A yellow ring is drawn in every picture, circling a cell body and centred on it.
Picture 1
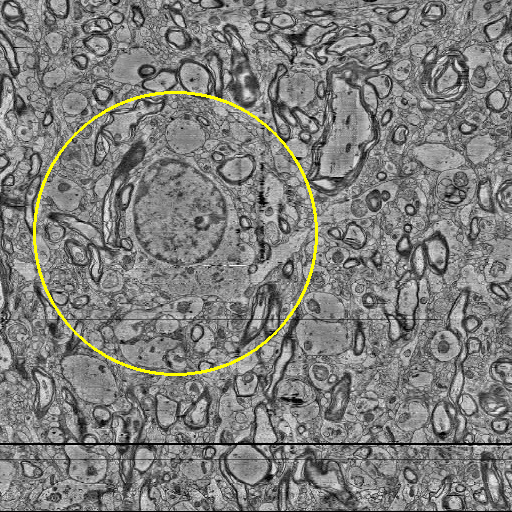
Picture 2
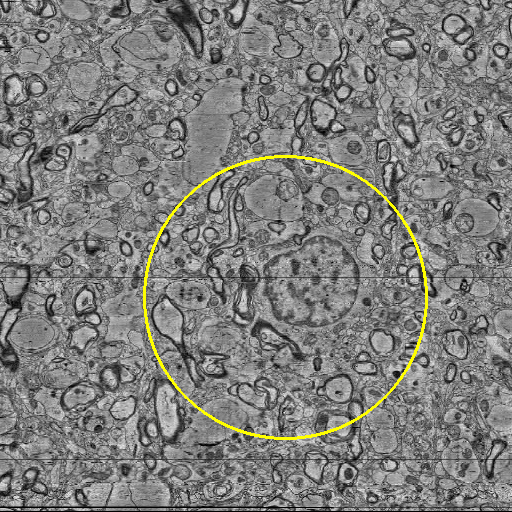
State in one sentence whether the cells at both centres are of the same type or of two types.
The cells at the two ring centres, one per picture, are of two types.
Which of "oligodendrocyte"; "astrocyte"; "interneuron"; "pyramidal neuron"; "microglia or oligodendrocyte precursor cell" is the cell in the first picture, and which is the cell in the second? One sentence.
The two differ: the first cell is a microglial cell or oligodendrocyte precursor cell and the second is an oligodendrocyte.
